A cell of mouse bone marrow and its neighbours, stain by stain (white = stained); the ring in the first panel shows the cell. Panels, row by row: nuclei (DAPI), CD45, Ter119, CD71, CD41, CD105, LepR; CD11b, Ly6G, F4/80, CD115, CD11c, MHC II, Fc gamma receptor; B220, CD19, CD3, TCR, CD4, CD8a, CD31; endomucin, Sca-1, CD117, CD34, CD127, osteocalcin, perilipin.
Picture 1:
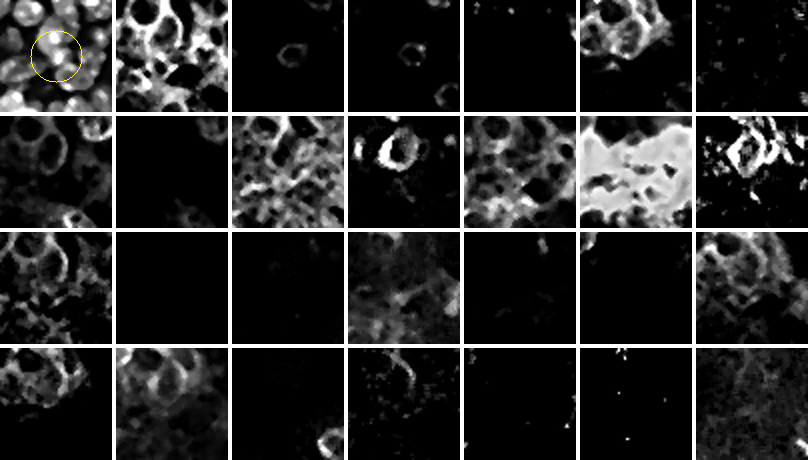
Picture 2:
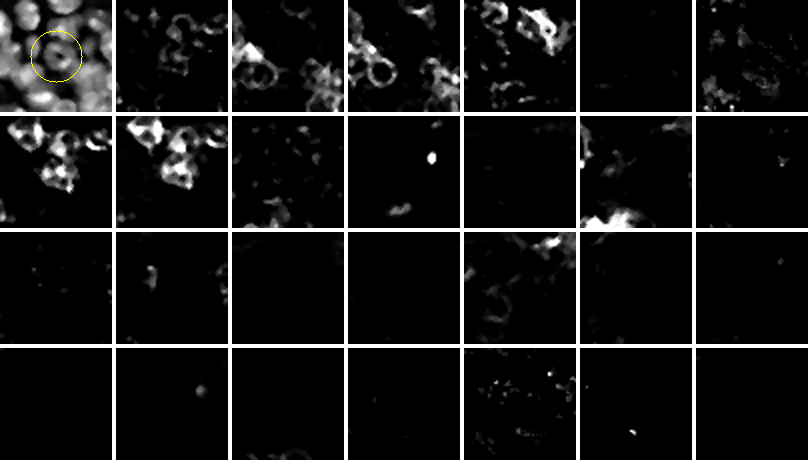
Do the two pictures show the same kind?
No: a conventional dendritic cell, then a neutrophil.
